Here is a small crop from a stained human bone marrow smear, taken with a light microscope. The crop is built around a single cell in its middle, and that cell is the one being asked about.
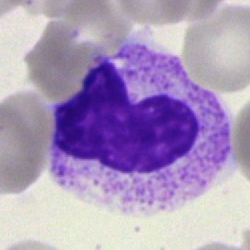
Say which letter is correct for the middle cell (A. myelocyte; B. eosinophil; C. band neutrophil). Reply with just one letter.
C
